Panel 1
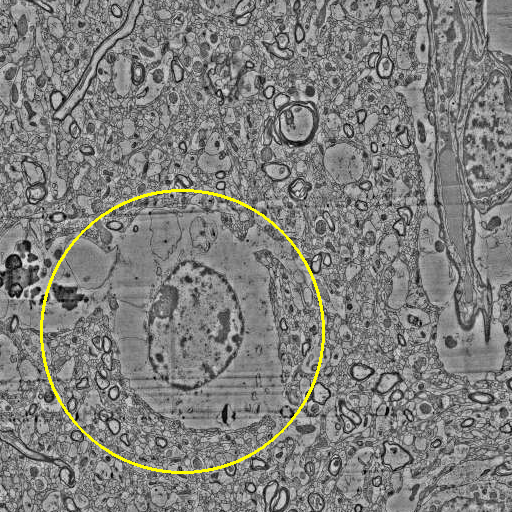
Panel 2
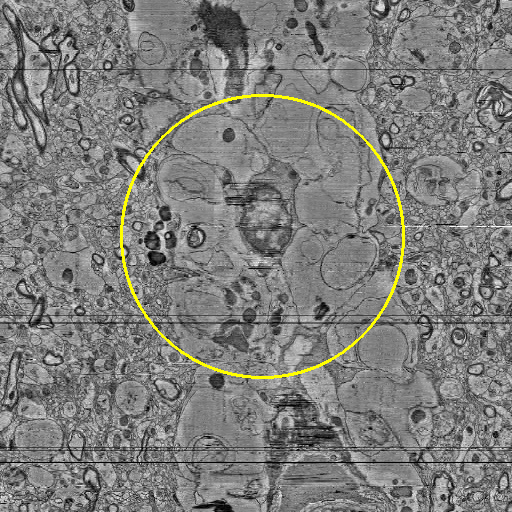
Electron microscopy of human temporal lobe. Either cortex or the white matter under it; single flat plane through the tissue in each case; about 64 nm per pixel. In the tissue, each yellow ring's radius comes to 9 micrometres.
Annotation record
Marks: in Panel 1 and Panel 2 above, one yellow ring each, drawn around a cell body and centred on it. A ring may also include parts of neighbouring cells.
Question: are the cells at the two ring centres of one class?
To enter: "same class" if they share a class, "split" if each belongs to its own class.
split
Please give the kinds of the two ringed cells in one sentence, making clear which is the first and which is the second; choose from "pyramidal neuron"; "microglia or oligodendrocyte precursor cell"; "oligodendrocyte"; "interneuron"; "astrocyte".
In the second picture the ringed cell is an oligodendrocyte; in the first it is an astrocyte.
